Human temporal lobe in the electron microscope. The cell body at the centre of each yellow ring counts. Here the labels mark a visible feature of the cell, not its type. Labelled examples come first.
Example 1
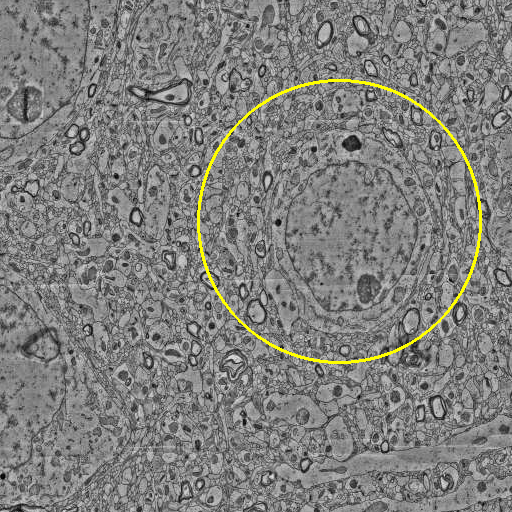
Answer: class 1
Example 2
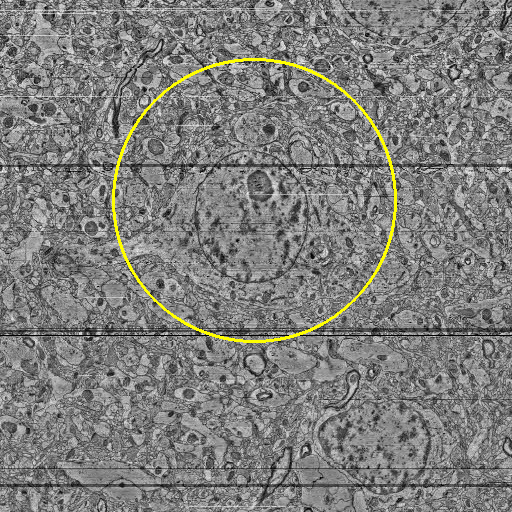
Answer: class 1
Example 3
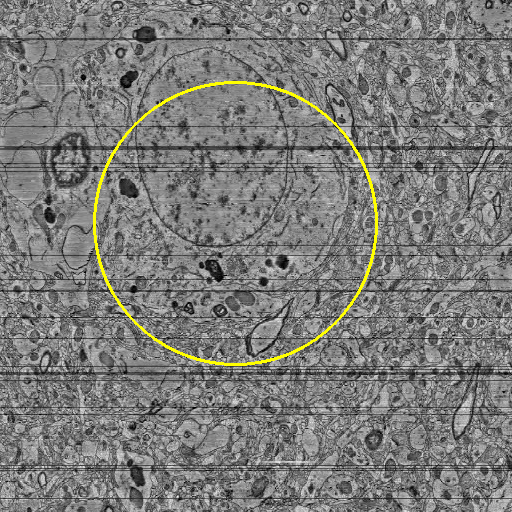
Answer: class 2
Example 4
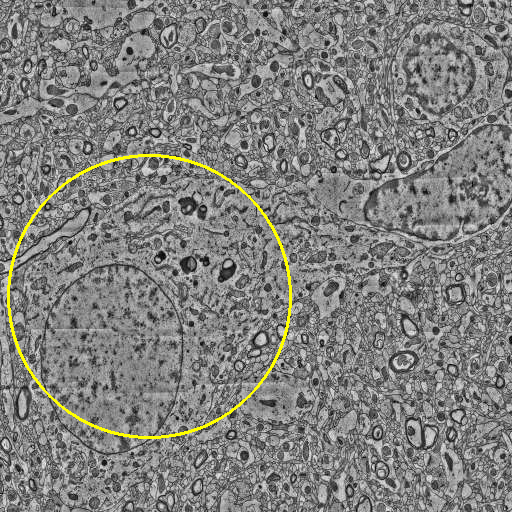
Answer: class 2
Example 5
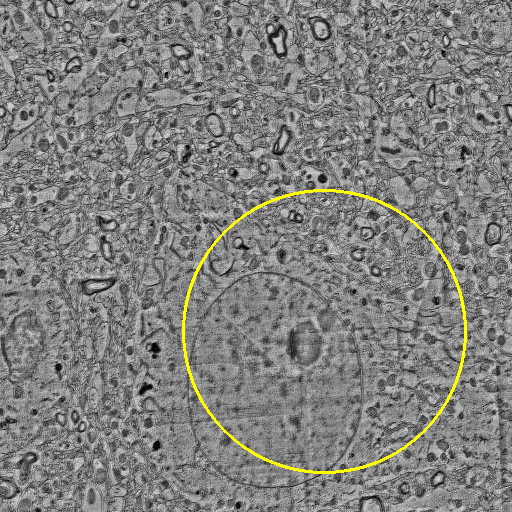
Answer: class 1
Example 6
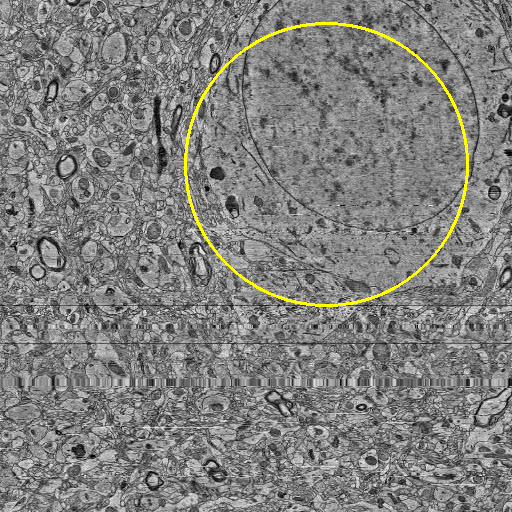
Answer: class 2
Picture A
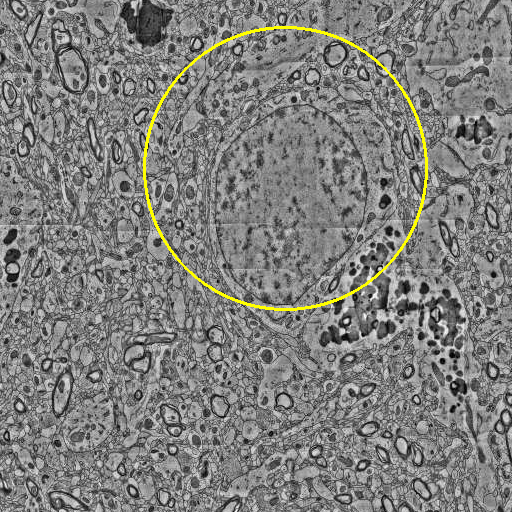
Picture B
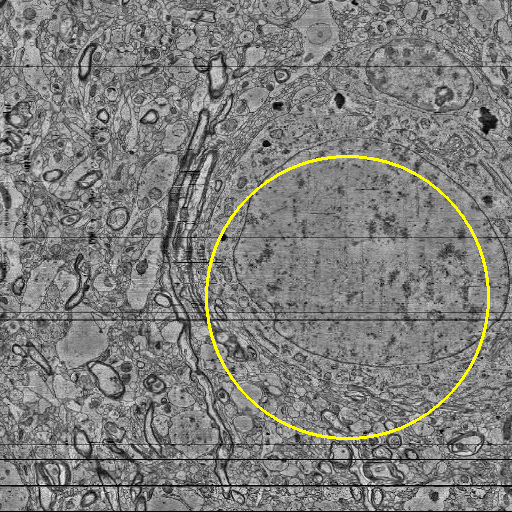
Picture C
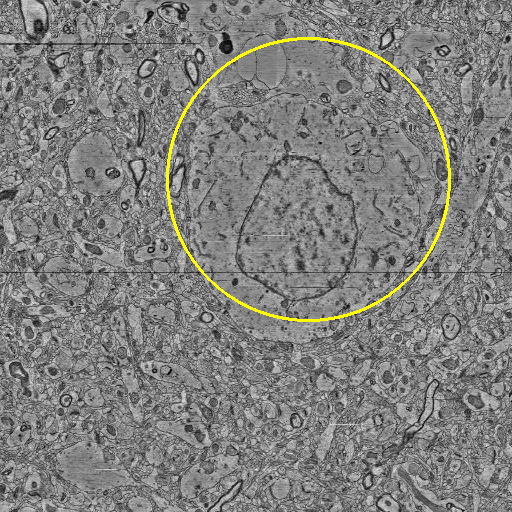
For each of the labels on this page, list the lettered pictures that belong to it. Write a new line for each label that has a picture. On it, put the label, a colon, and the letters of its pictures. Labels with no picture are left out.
class 2: A, B, C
